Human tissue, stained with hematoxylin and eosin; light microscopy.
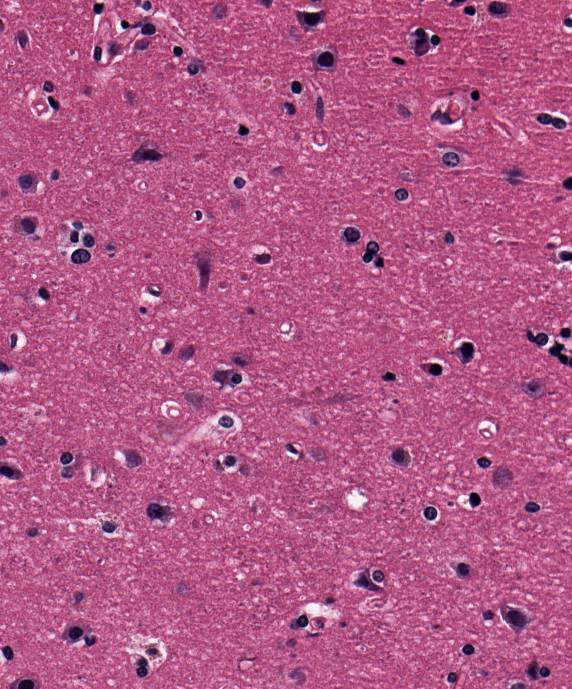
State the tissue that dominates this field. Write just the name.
cerebral cortex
